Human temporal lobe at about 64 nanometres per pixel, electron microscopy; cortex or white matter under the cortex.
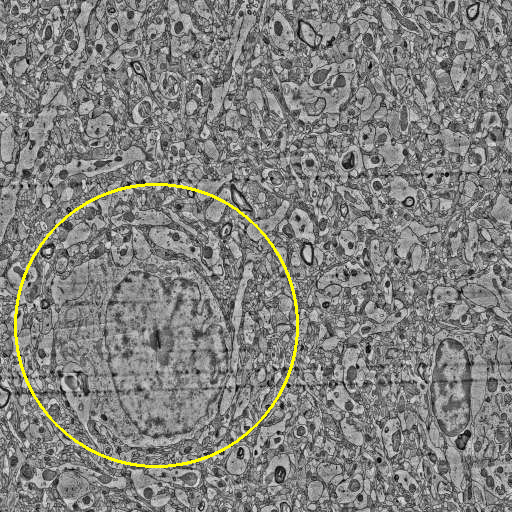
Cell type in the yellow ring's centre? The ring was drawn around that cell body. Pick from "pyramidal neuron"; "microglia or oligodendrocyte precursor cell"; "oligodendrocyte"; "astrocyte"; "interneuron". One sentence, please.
The ringed cell body is that of an interneuron.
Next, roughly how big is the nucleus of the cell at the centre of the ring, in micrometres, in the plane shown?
About 11 by 8 micrometers for the nucleus, in this plane.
